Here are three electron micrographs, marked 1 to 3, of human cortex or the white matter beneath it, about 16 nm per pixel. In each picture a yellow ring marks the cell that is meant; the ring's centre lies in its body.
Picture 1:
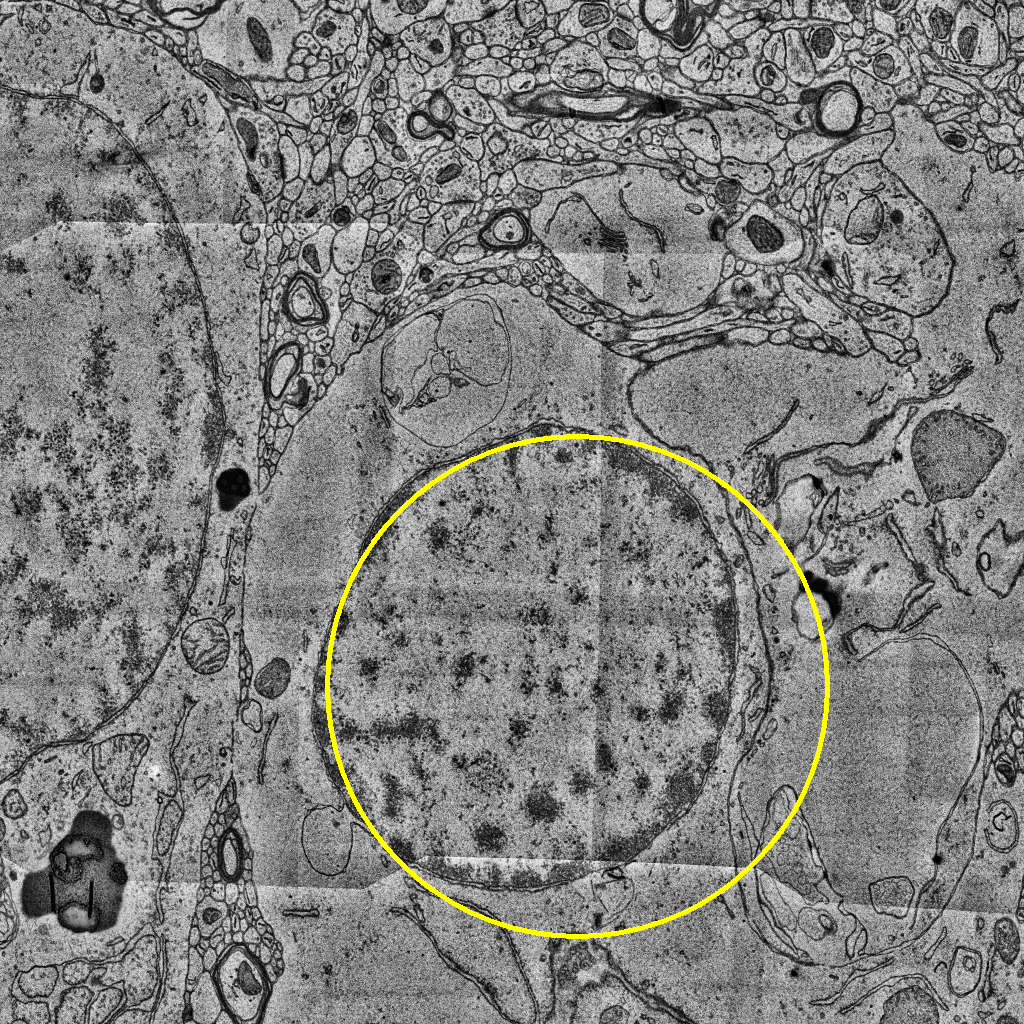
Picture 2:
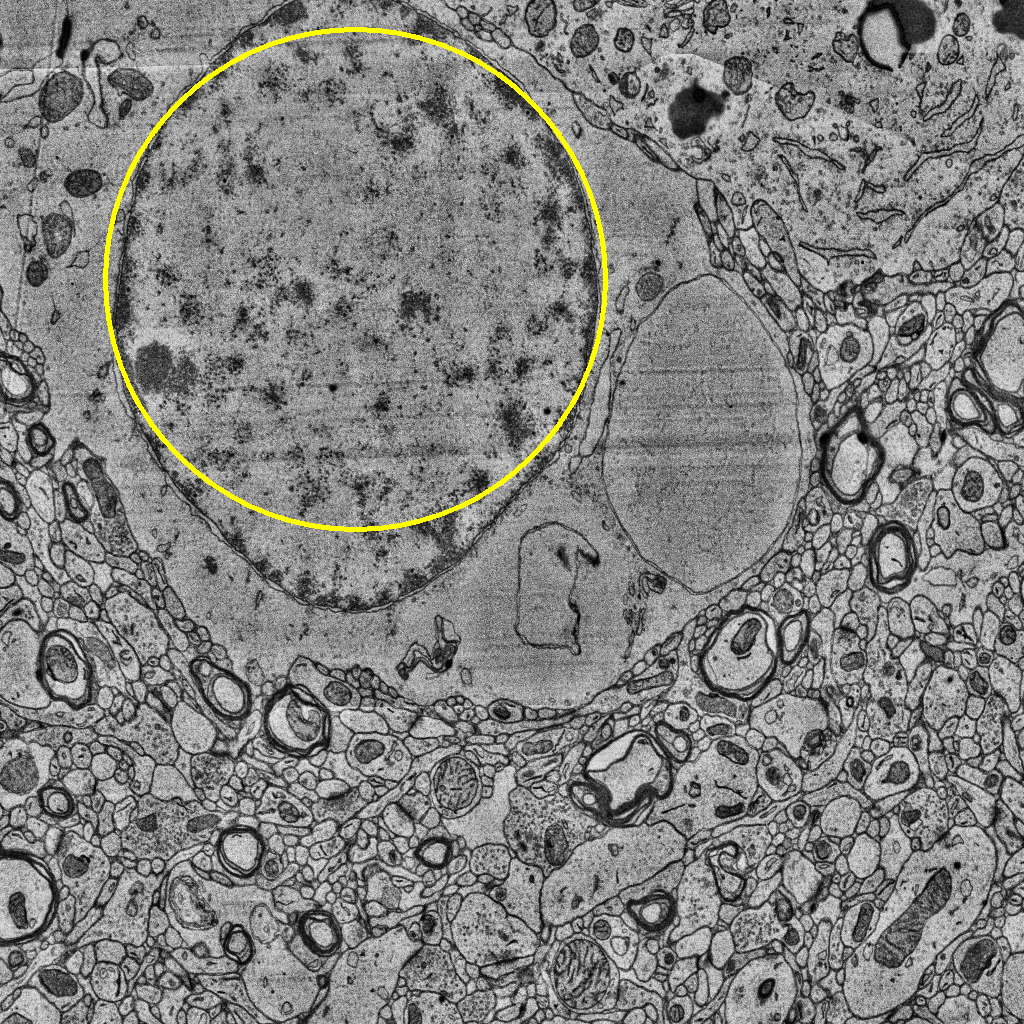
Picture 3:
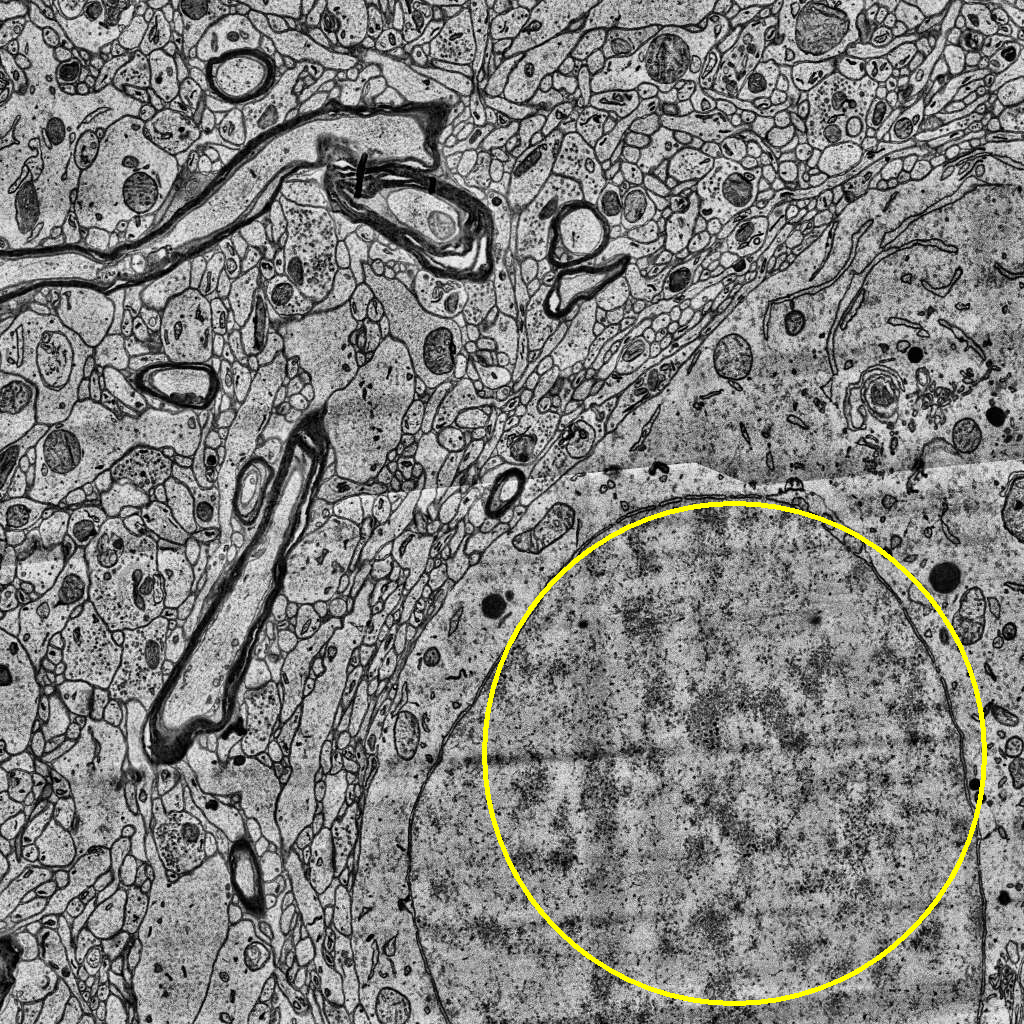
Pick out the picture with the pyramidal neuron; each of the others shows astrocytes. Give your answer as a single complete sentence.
Picture 3 shows the pyramidal neuron.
